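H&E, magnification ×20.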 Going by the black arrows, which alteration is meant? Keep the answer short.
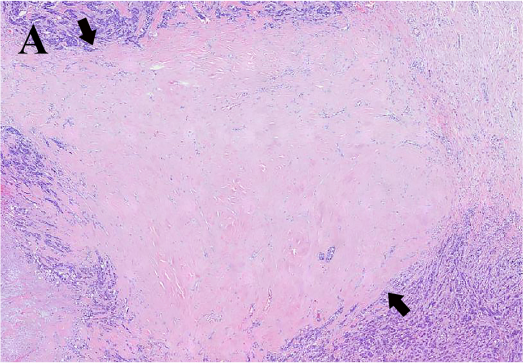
Scar-like lesion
